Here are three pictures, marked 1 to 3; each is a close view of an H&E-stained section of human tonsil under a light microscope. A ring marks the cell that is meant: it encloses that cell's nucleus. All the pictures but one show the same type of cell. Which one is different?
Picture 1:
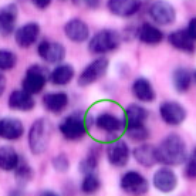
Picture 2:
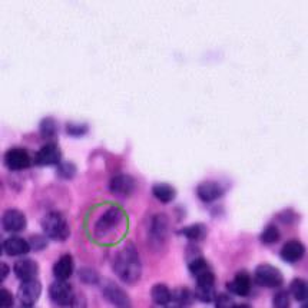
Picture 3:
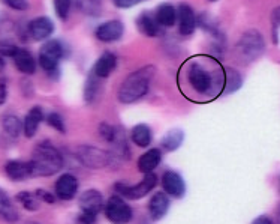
1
